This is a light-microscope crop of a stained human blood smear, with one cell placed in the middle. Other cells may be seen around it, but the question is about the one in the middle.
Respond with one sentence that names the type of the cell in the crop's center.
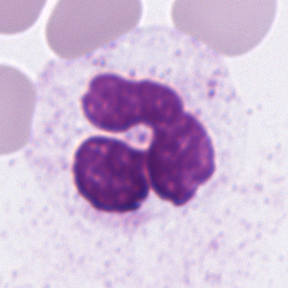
Among the cells in view, the one in the middle is a segmented neutrophil.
